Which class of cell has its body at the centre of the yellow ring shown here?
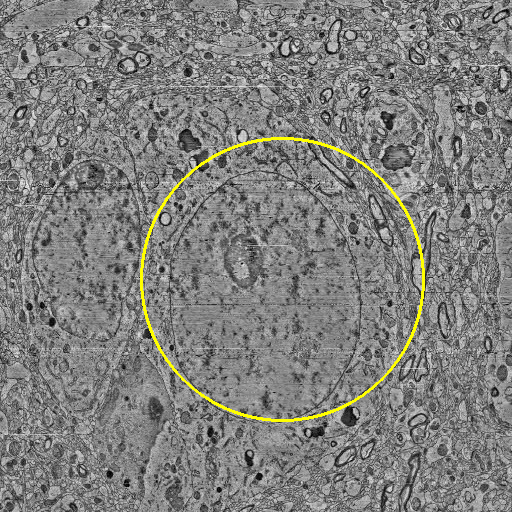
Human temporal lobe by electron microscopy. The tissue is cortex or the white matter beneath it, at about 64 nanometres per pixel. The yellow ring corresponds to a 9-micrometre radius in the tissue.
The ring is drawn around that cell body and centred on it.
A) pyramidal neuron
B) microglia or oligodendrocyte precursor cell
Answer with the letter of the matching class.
A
